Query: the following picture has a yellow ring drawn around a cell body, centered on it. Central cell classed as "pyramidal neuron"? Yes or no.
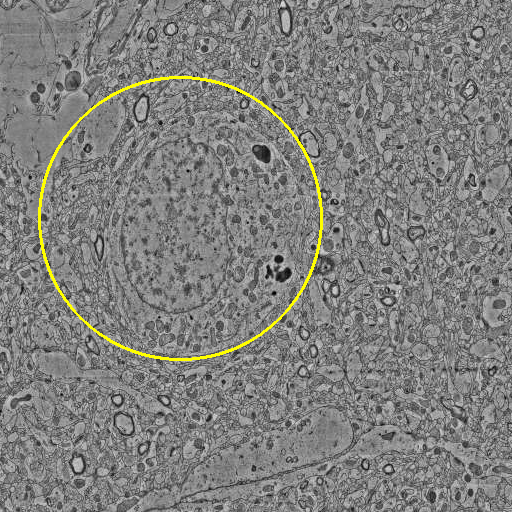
no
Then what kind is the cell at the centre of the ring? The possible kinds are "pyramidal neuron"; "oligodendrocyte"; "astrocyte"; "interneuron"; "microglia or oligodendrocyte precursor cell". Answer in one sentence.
The answer is that the ringed cell is an interneuron.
